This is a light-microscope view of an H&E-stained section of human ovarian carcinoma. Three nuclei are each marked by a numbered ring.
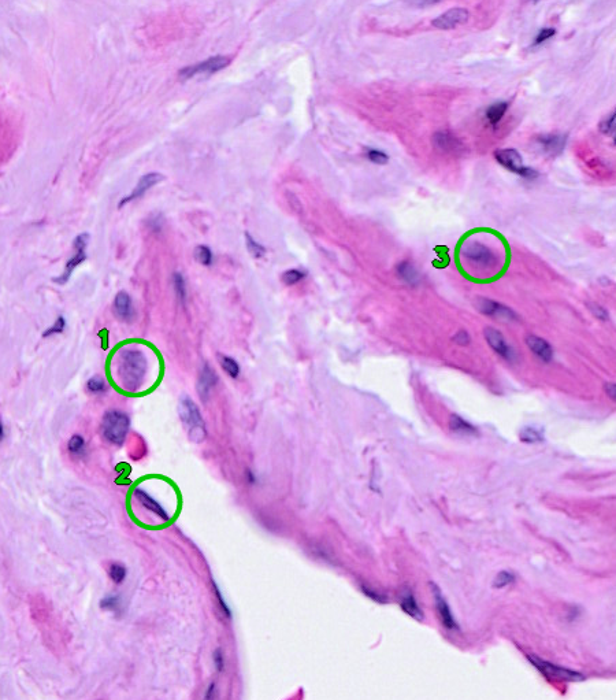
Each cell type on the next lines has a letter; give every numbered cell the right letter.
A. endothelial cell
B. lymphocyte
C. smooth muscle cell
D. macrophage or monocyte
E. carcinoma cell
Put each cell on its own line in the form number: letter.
1: A
2: A
3: C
